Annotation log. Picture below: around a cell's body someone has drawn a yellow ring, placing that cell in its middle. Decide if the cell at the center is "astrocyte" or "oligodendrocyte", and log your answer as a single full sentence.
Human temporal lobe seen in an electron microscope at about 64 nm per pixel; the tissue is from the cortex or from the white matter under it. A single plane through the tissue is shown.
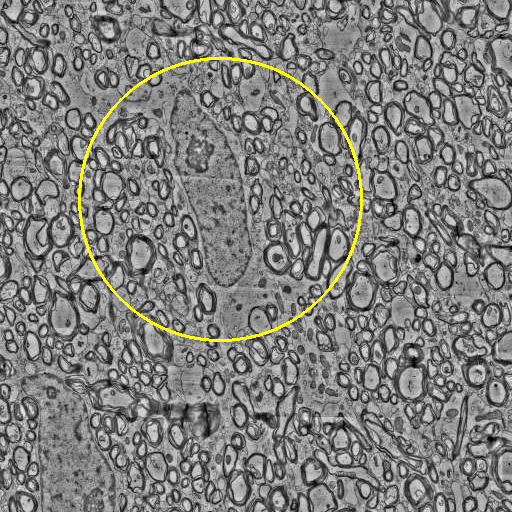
My entry records an astrocyte as the cell sitting at the center of the yellow ring.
